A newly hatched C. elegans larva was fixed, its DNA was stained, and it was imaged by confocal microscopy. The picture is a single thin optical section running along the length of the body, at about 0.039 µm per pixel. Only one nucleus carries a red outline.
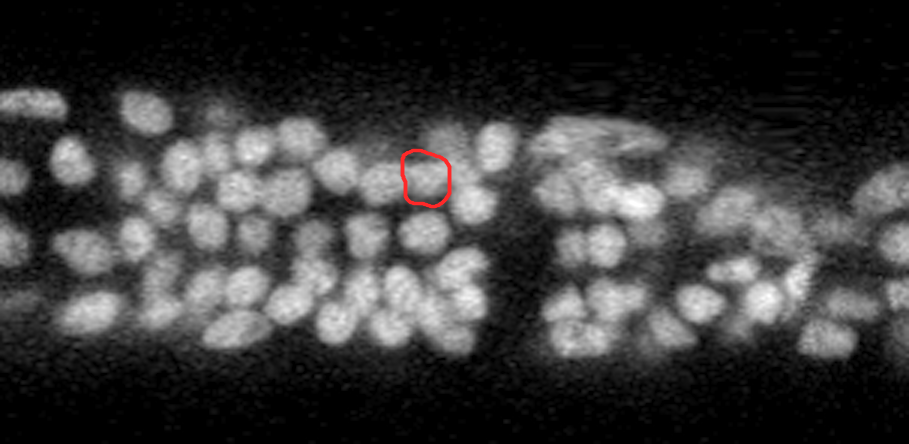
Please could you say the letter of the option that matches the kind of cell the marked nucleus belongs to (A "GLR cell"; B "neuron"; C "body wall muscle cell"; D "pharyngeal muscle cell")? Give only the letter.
B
